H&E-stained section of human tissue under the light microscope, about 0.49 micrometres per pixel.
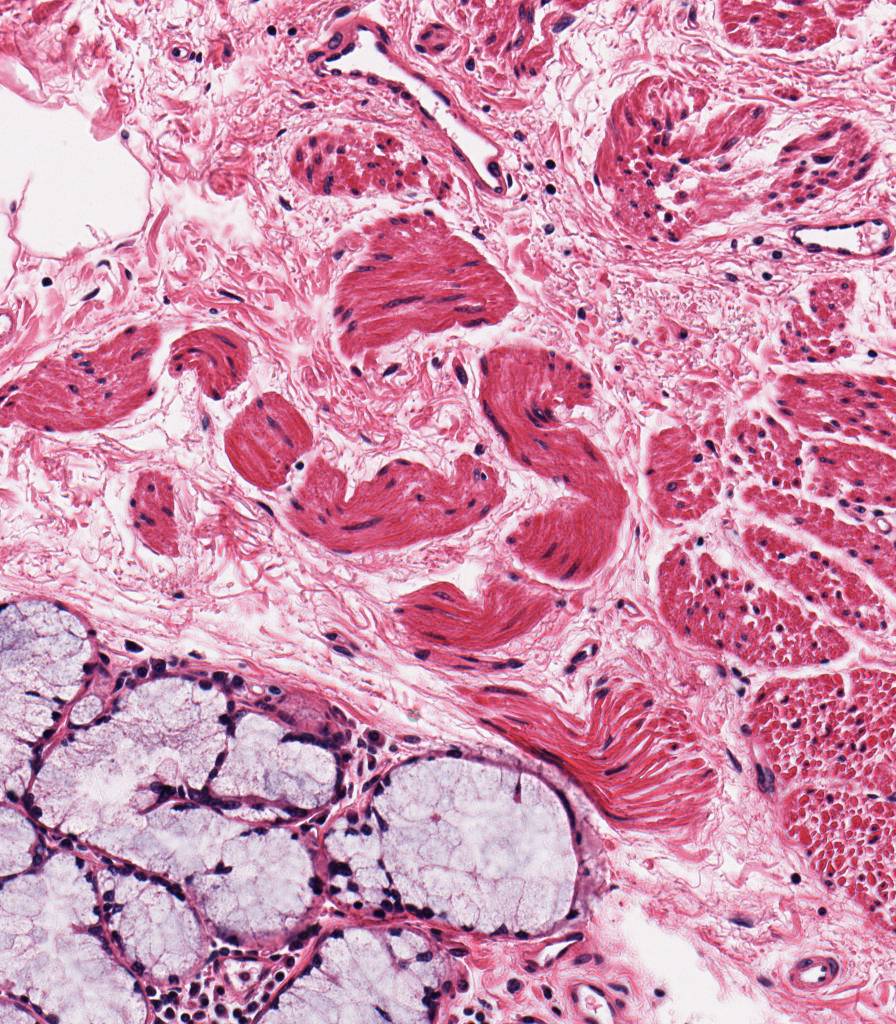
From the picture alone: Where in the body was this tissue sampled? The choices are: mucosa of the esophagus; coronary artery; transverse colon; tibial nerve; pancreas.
mucosa of the esophagus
